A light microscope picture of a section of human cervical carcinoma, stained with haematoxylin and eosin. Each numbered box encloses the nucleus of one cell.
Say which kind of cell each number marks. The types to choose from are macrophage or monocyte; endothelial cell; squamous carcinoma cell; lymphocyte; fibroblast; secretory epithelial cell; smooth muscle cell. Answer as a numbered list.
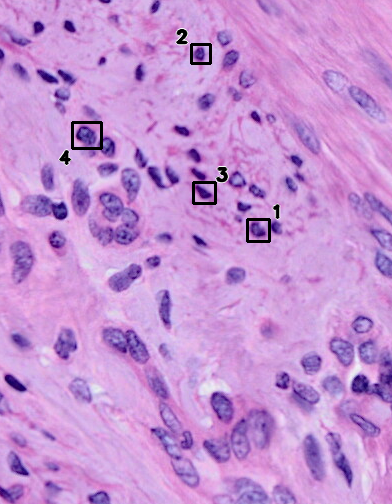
1. smooth muscle cell
2. smooth muscle cell
3. smooth muscle cell
4. endothelial cell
